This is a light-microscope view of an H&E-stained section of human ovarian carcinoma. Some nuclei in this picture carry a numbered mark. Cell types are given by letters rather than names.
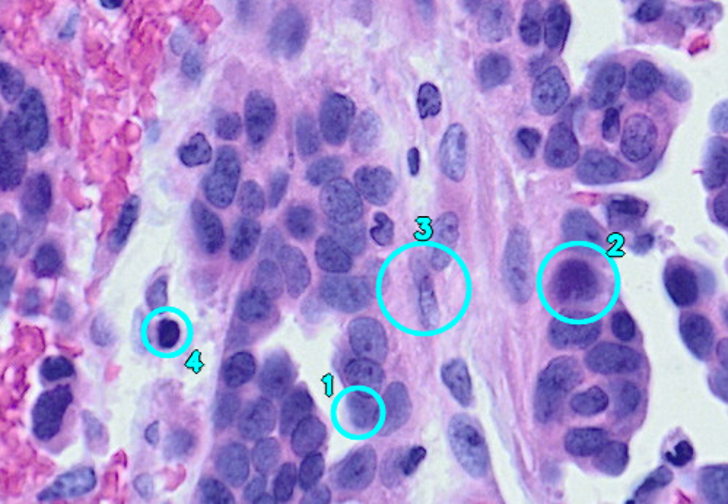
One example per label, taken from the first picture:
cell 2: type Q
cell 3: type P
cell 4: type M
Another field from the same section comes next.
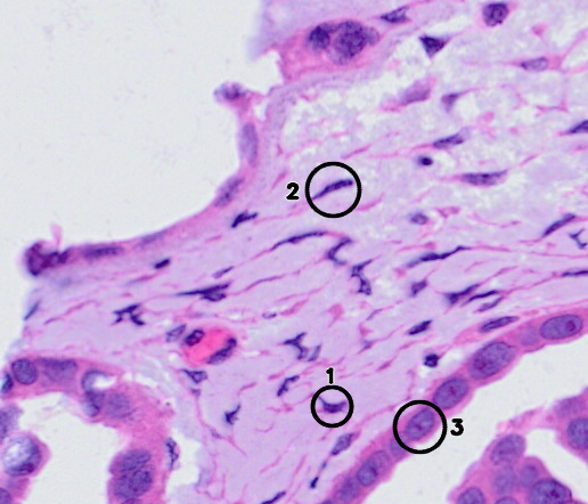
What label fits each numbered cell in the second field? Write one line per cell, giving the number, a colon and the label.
1: type P
2: type P
3: type Q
